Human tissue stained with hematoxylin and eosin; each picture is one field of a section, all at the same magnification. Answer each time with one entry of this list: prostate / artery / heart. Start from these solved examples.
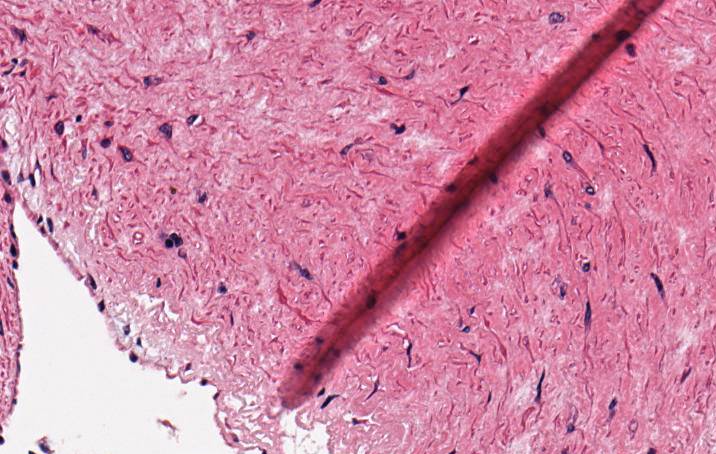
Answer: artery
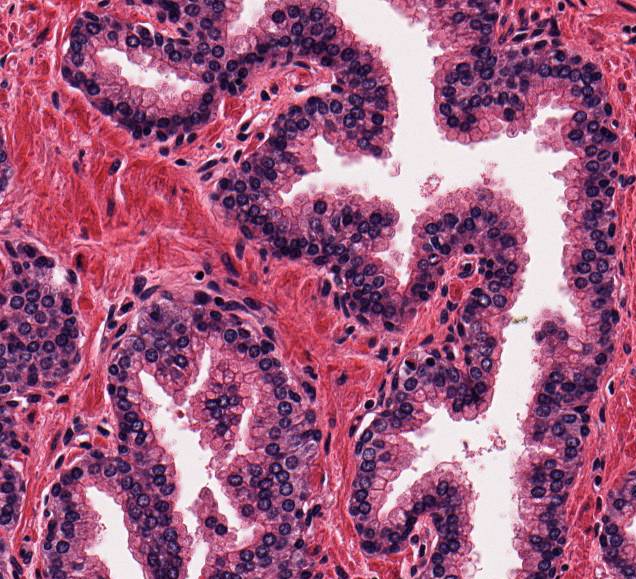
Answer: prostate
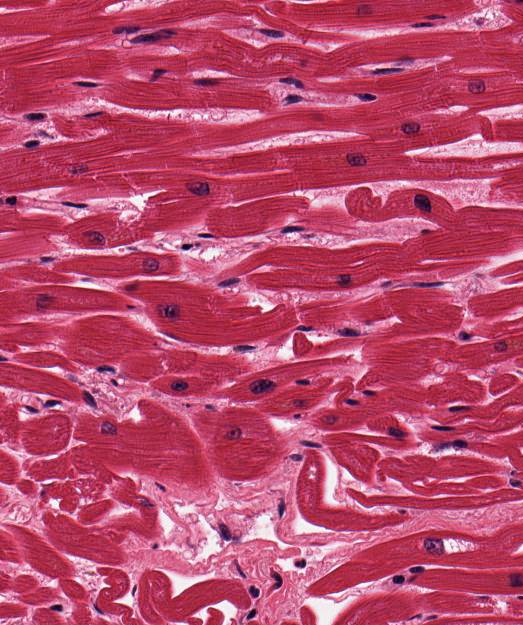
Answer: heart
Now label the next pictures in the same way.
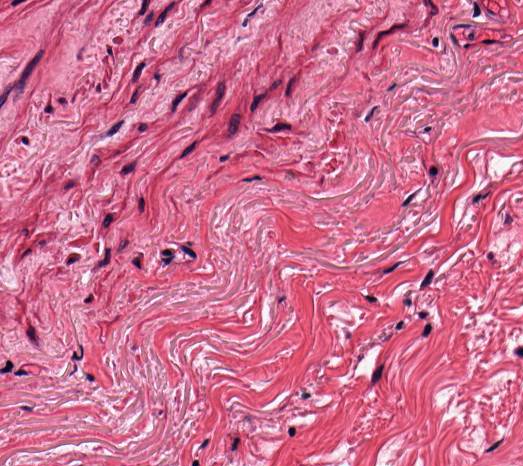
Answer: artery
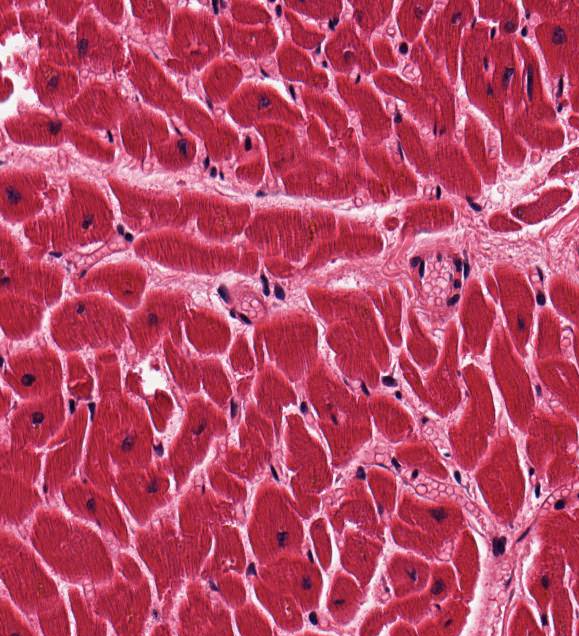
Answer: heart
